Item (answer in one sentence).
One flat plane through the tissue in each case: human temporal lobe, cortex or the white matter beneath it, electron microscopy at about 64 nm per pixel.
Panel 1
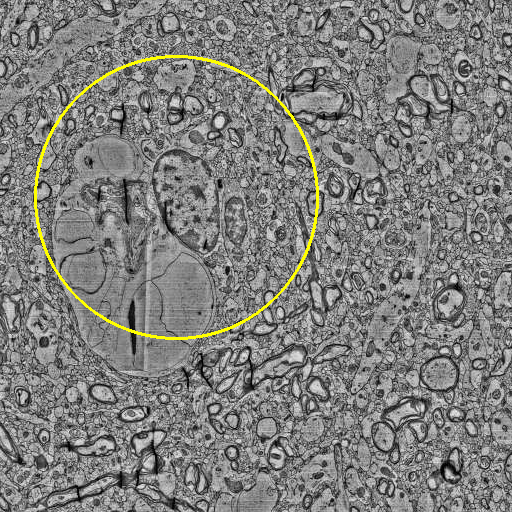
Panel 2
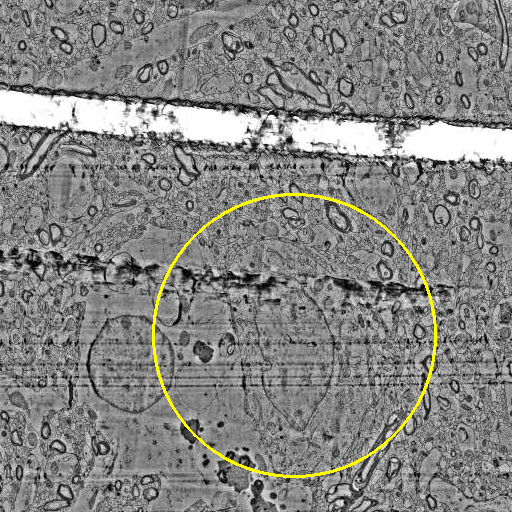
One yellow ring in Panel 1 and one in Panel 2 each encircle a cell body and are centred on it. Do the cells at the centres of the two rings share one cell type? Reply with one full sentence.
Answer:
No, Panel 1 and Panel 2 show cells of two types at the centres of their rings.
